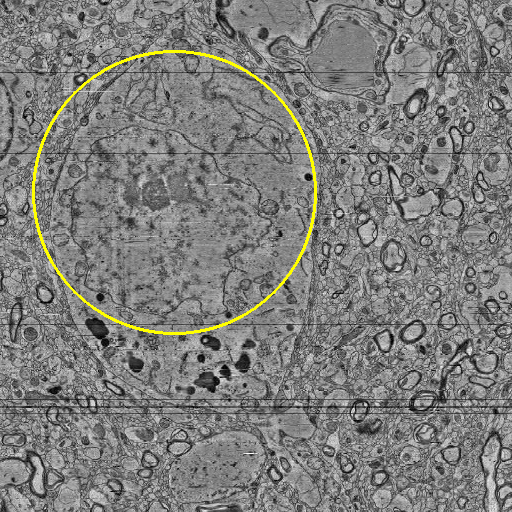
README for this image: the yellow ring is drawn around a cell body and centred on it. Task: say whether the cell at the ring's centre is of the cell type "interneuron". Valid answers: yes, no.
yes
